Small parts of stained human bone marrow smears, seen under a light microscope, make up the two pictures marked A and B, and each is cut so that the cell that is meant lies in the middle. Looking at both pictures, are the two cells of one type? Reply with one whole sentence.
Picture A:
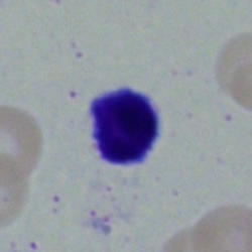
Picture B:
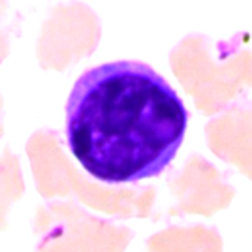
Yes, both cells are lymphocytes.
